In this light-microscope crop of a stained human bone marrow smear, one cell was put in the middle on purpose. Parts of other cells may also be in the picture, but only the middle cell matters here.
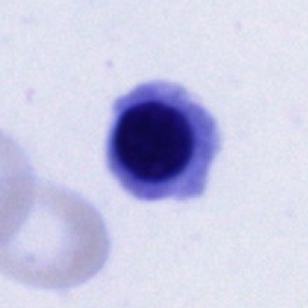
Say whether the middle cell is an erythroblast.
yes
